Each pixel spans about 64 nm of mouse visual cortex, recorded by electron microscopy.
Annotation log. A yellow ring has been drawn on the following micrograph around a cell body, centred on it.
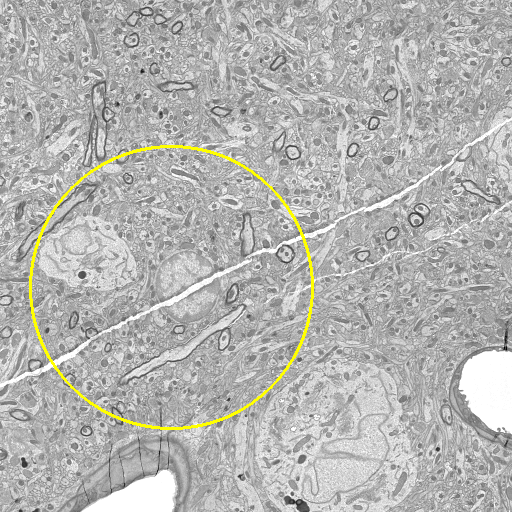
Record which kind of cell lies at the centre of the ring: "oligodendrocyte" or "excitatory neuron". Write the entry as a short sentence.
The cell the ring is centred on is an oligodendrocyte.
